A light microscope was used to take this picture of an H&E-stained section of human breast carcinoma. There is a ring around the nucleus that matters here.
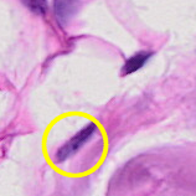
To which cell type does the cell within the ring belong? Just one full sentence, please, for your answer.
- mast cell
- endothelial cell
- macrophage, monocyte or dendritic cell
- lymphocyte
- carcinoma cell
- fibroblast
In the tissue at hand, the cell within the ring is a fibroblast.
